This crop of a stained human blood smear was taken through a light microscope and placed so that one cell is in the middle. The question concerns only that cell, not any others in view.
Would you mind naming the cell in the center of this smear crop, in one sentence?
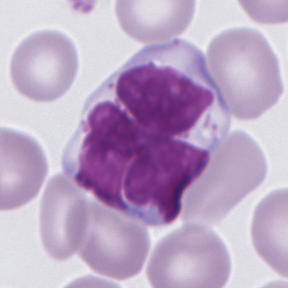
As for the cell in the middle, it is a large granular lymphocyte.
